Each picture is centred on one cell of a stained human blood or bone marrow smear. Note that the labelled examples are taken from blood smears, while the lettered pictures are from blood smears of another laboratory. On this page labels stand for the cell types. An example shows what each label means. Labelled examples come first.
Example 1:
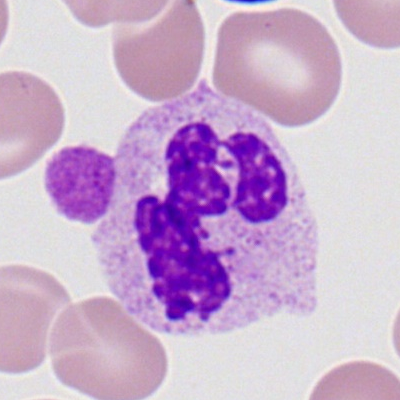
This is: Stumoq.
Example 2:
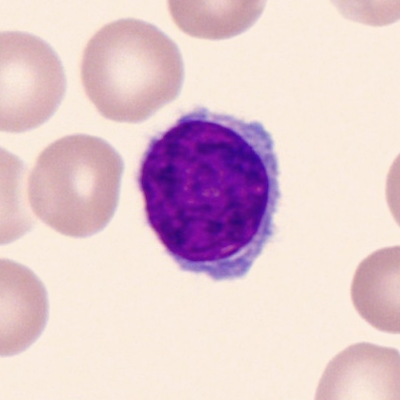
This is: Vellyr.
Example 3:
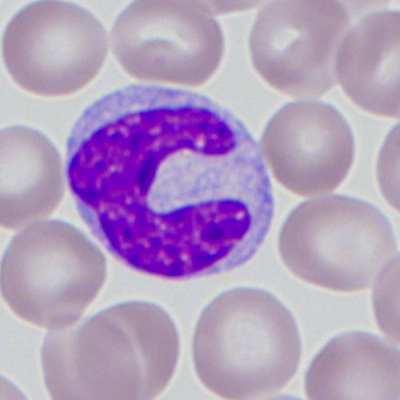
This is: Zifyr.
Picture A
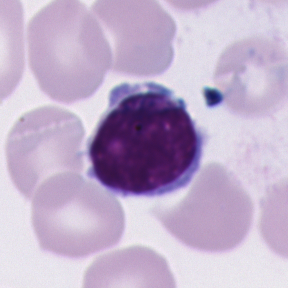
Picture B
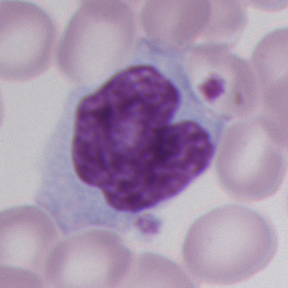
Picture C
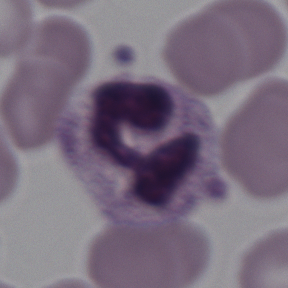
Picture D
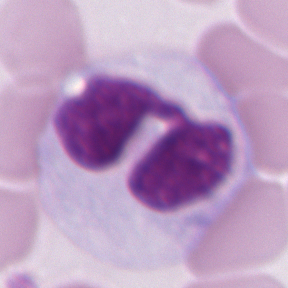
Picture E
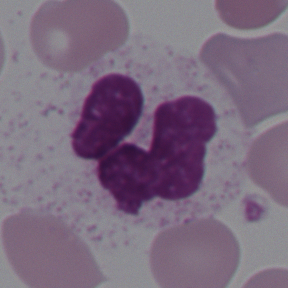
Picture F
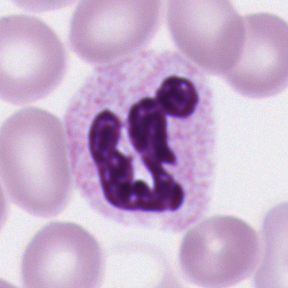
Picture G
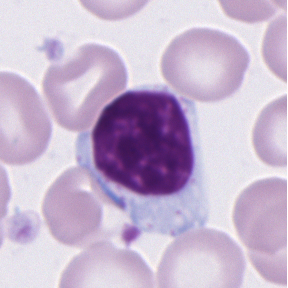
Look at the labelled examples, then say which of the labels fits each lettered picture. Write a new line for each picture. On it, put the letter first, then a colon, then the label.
A: Vellyr.
B: Zifyr.
C: Stumoq.
D: Zifyr.
E: Stumoq.
F: Stumoq.
G: Vellyr.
